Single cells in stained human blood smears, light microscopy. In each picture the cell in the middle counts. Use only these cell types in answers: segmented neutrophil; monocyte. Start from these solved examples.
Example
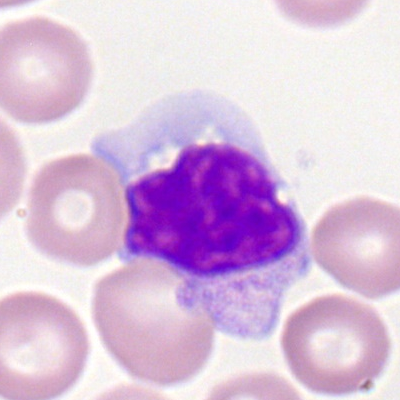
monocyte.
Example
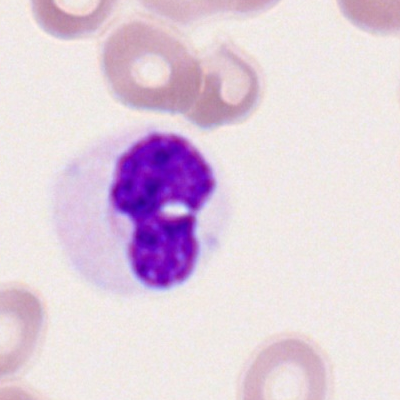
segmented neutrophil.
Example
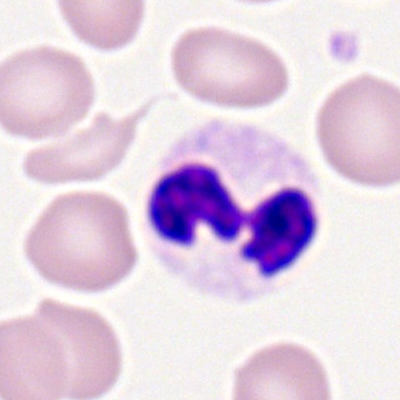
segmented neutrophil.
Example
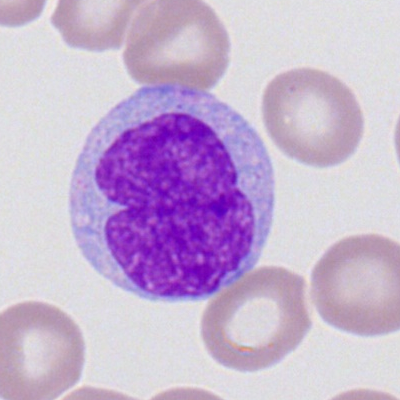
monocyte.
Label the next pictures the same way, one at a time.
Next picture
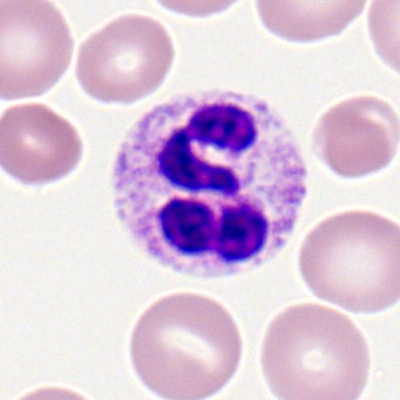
segmented neutrophil.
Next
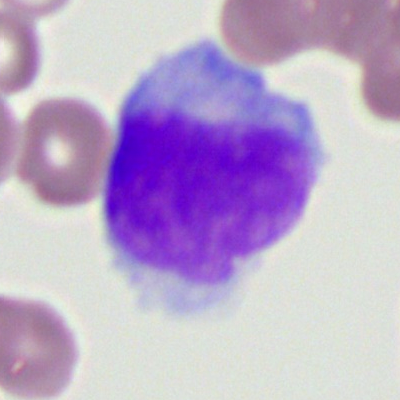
monocyte.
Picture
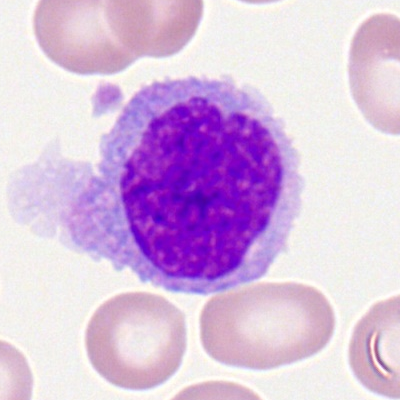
monocyte.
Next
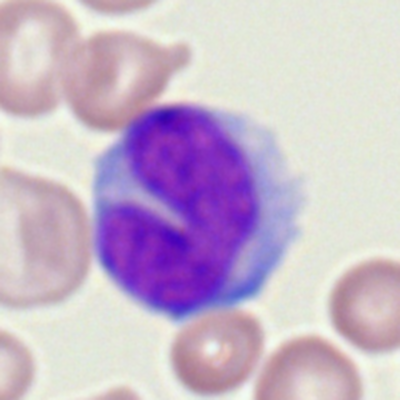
monocyte.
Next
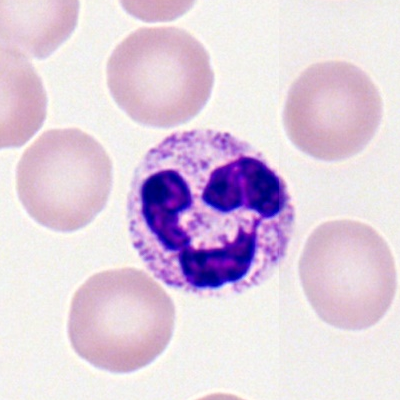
segmented neutrophil.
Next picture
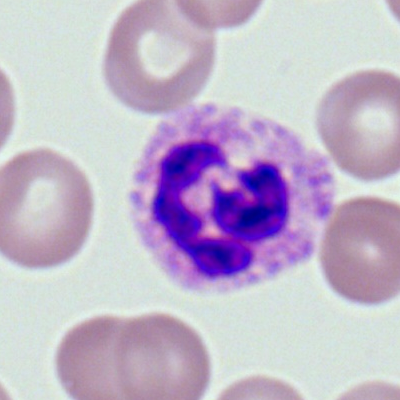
segmented neutrophil.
